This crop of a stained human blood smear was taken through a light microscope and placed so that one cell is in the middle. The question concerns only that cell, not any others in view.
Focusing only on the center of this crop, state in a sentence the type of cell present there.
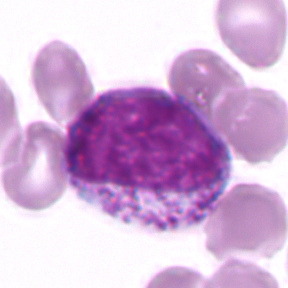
In the middle of this smear crop is a metamyelocyte.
